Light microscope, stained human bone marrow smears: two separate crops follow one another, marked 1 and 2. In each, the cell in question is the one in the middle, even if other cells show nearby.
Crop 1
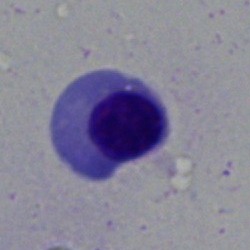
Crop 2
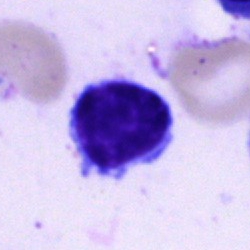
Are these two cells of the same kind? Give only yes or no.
no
